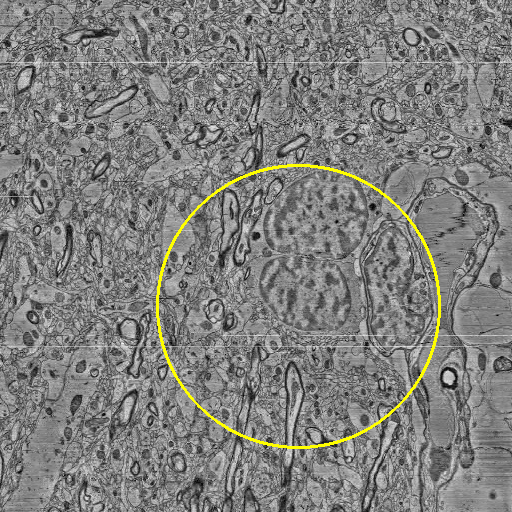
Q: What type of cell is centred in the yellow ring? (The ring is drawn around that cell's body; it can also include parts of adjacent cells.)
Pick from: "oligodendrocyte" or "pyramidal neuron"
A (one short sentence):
The yellow ring is centred on an oligodendrocyte.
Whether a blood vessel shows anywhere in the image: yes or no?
Yes, the image shows a blood vessel.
